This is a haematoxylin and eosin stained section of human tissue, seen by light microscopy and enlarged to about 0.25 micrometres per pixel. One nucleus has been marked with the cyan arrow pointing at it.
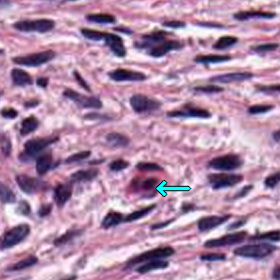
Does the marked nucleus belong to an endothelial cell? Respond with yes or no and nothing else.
no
